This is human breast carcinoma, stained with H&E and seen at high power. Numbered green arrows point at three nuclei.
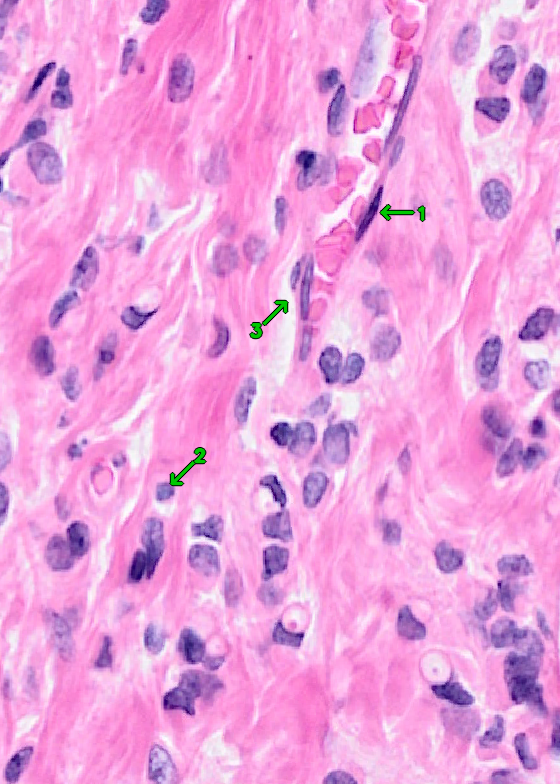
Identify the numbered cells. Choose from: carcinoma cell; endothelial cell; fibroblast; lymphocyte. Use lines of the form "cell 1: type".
cell 1: endothelial cell
cell 2: lymphocyte
cell 3: endothelial cell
